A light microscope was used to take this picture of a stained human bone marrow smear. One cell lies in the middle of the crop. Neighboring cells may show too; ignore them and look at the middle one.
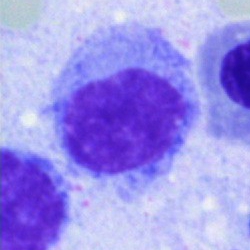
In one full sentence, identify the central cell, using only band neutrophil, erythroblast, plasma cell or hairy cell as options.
Among the cells in view, the one in the middle is a hairy cell.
